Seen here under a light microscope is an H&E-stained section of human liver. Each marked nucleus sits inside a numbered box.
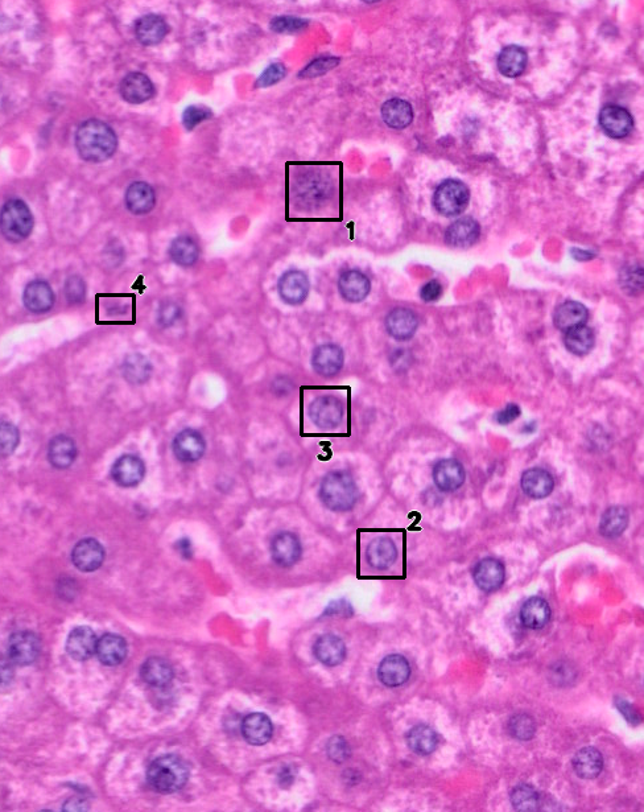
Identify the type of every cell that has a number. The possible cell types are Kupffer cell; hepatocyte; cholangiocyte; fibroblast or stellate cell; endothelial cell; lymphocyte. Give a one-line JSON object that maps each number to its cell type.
{"1": "hepatocyte", "2": "hepatocyte", "3": "hepatocyte", "4": "endothelial cell"}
